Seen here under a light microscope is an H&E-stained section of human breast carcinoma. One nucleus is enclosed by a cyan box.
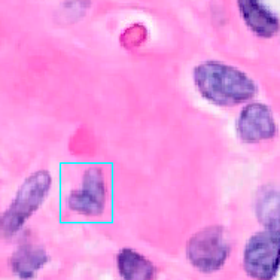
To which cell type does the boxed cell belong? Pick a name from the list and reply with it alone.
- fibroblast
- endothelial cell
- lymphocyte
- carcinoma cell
endothelial cell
